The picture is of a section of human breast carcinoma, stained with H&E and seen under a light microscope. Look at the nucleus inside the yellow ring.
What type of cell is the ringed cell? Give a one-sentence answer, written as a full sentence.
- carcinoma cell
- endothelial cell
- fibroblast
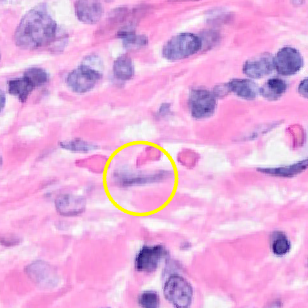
In this tissue section, the ringed cell is to be classed as an endothelial cell.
